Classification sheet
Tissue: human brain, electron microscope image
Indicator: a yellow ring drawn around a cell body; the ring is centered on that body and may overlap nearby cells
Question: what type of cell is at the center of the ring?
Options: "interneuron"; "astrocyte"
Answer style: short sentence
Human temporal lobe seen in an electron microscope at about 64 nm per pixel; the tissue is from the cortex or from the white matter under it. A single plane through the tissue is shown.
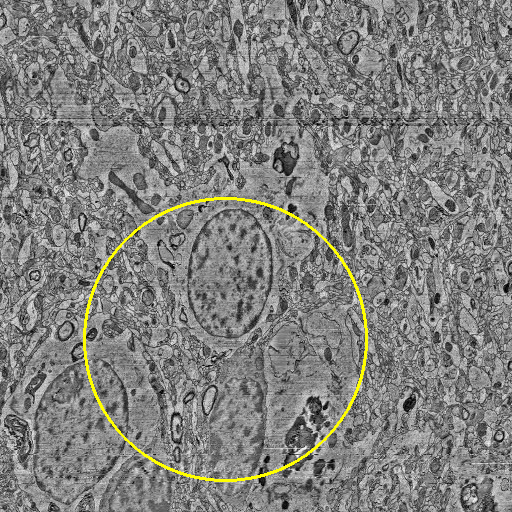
At the ring's center is an astrocyte.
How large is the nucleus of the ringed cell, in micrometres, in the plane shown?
The nucleus is about 9 micrometres in length and 5 in width, clearly longer than it is wide in this plane.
